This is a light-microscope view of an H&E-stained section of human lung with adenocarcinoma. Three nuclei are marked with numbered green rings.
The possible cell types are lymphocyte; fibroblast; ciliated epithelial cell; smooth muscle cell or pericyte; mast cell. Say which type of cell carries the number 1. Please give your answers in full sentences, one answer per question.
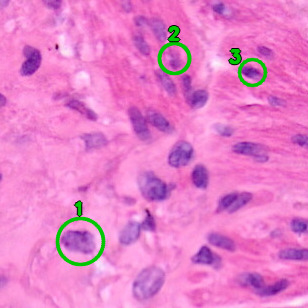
The cell indicated with the number 1 is classed as a fibroblast.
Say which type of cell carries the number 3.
In this section, the cell tagged 3 is a smooth muscle cell or pericyte.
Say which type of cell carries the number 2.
The cell that bears the number 2 is a smooth muscle cell or pericyte.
